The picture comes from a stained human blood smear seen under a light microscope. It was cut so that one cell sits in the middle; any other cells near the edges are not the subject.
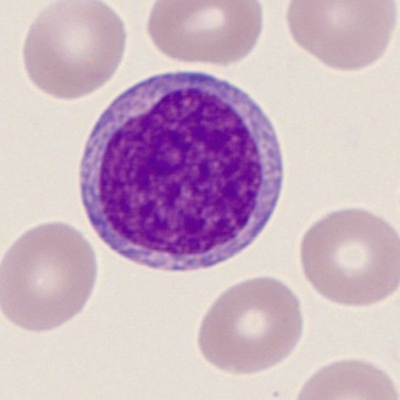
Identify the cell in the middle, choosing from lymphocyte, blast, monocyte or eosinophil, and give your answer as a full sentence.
The cell marked by its central position in the crop is a blast.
